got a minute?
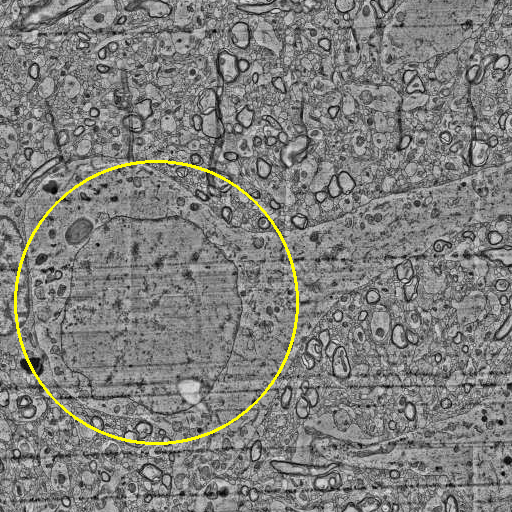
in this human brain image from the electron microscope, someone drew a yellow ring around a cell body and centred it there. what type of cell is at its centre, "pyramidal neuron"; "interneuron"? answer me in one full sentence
It's a pyramidal neuron at the middle of that yellow ring in the shot.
